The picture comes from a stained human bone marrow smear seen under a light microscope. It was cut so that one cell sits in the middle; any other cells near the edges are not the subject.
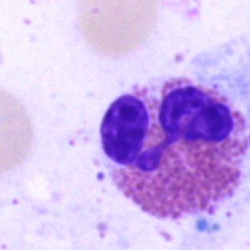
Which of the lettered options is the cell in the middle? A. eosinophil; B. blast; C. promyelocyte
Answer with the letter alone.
A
